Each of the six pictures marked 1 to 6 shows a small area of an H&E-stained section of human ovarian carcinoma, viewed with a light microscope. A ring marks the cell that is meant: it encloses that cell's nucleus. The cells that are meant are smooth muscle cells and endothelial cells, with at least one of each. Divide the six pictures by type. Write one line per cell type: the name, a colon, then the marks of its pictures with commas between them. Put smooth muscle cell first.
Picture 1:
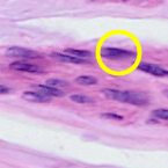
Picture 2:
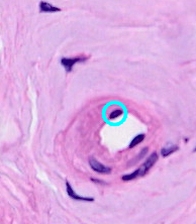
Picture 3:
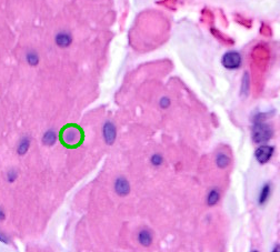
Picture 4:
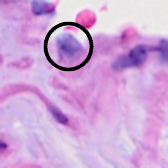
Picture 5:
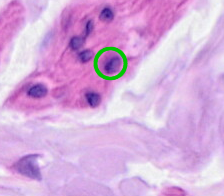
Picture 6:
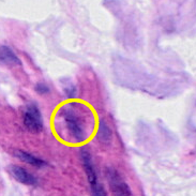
smooth muscle cell: 1, 3, 5, 6
endothelial cell: 2, 4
